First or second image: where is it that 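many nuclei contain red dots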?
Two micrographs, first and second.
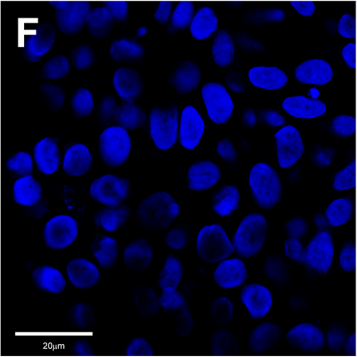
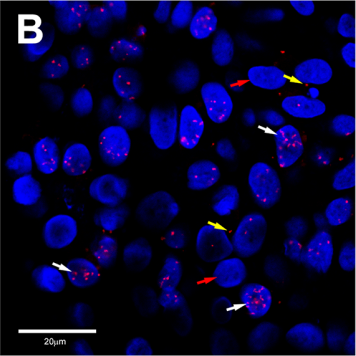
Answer: The second image.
